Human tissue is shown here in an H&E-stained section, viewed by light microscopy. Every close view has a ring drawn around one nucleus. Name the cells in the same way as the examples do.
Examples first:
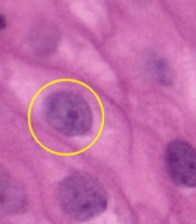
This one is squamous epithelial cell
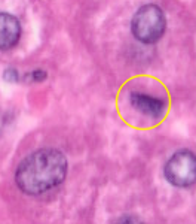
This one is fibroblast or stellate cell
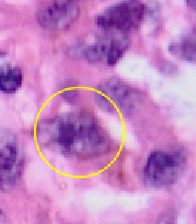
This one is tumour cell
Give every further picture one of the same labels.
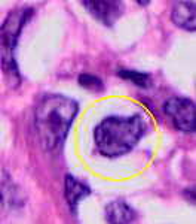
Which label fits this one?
tumour cell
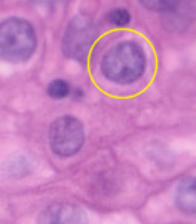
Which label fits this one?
squamous epithelial cell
